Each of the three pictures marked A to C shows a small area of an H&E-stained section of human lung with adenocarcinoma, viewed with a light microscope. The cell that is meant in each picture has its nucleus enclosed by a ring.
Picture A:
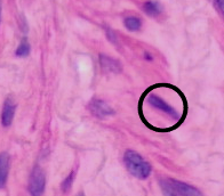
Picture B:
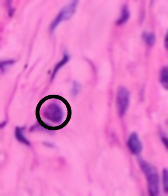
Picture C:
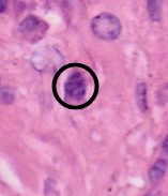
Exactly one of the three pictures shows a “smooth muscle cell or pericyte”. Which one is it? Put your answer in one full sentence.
The cell in picture A is the “smooth muscle cell or pericyte”.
